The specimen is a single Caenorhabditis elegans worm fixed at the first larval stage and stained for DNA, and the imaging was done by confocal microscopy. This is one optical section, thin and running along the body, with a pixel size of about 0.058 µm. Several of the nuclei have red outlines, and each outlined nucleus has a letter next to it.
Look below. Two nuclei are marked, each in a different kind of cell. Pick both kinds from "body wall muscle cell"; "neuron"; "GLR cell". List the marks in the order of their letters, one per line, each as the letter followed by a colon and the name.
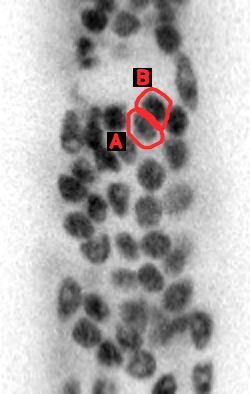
A: neuron
B: GLR cell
